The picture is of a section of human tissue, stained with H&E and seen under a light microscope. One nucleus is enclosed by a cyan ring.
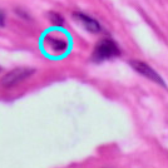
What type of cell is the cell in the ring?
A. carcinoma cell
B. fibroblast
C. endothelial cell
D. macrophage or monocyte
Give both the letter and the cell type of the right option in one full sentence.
Here the cell in the ring is a fibroblast, which makes option B correct.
